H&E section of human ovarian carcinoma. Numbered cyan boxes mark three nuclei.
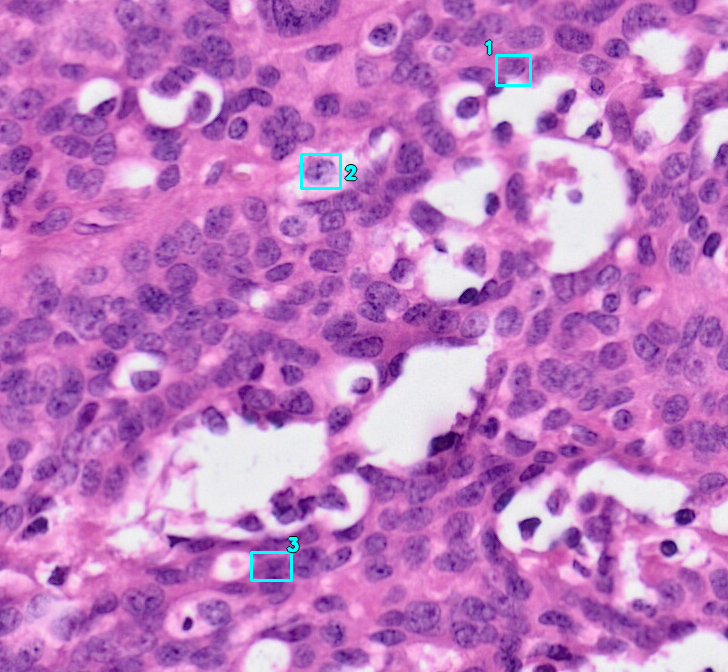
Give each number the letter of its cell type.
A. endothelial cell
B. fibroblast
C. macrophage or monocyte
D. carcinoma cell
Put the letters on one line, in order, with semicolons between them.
D; C; D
